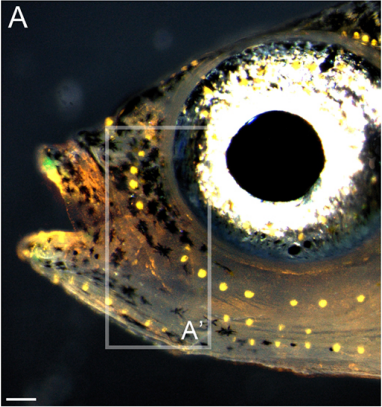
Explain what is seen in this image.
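Dark, star-shaped pigment cells with branching processes are spread over the snout and cheek between the spots. A small green spot lies at the tip of the upper jaw. The eye dominates the upper right, with a bright reflective iris ring around a dark pupil.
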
